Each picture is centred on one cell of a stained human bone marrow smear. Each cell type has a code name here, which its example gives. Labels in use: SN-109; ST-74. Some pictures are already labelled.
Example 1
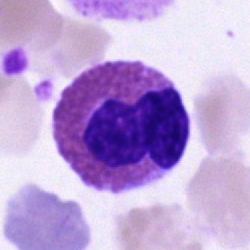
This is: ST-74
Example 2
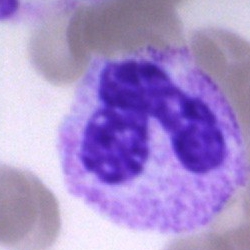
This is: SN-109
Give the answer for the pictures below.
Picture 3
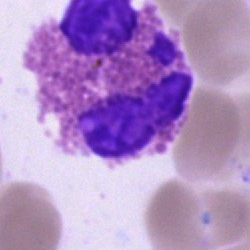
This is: ST-74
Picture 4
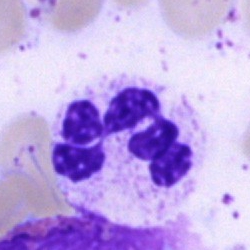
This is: SN-109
